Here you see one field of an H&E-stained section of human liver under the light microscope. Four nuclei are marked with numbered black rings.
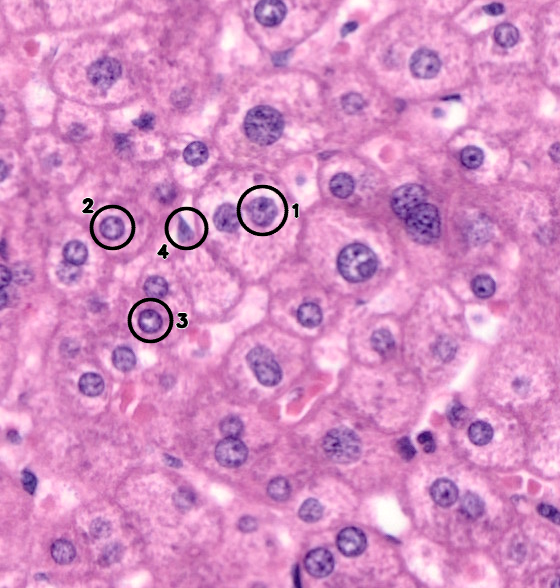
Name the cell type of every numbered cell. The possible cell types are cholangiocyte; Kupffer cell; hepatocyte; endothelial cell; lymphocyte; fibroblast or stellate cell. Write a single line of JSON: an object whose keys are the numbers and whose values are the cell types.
{"1": "hepatocyte", "2": "hepatocyte", "3": "hepatocyte", "4": "endothelial cell"}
